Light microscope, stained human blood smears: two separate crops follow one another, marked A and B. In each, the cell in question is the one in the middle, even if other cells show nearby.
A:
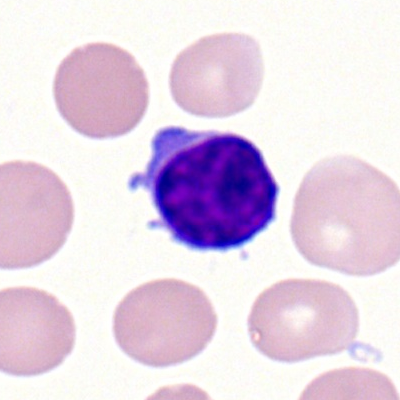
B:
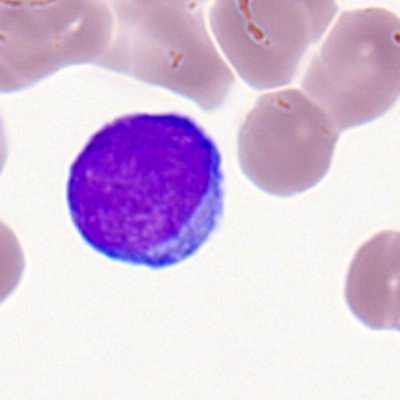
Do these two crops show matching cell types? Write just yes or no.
no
